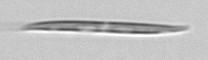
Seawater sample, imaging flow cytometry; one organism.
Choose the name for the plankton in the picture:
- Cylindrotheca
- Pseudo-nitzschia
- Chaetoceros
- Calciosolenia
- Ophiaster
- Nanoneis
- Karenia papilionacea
Pseudo-nitzschia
